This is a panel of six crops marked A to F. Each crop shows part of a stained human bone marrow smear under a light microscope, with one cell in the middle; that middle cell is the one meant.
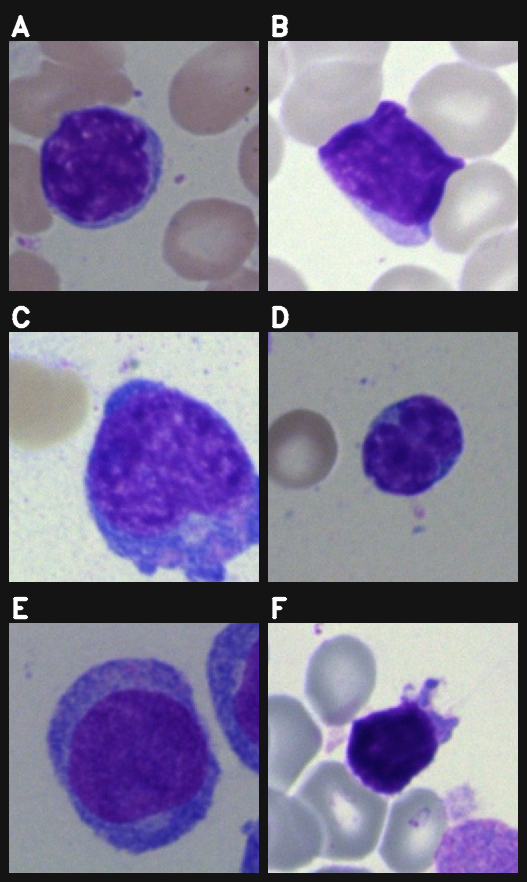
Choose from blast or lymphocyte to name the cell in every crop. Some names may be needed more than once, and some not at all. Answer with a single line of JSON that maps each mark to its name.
{"A": "lymphocyte", "B": "blast", "C": "blast", "D": "lymphocyte", "E": "blast", "F": "lymphocyte"}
